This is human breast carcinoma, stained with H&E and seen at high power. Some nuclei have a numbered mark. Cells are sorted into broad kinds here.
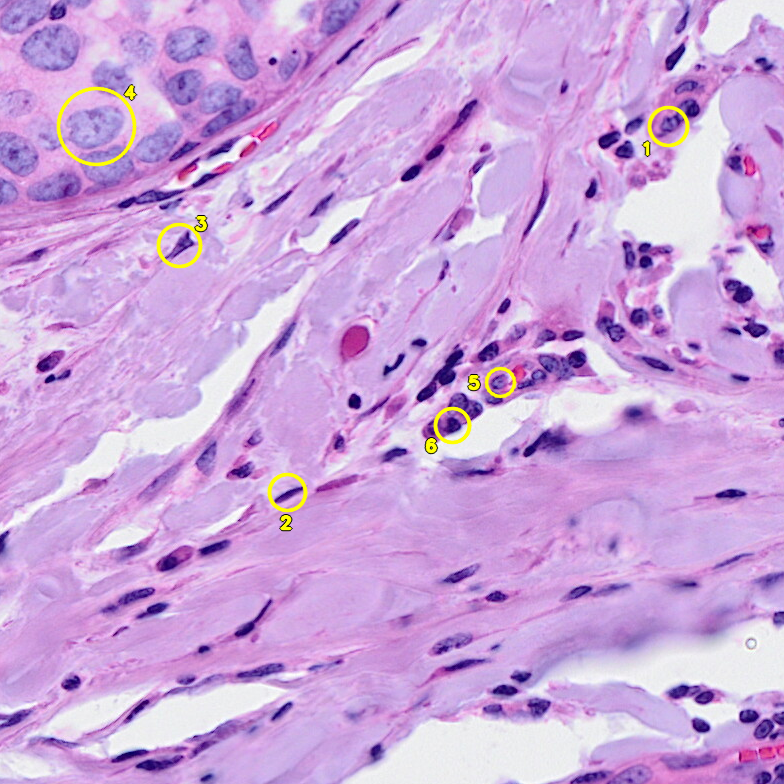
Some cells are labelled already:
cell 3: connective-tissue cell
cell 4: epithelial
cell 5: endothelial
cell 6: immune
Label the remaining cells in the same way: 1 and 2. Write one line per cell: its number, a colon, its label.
1: endothelial
2: connective-tissue cell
